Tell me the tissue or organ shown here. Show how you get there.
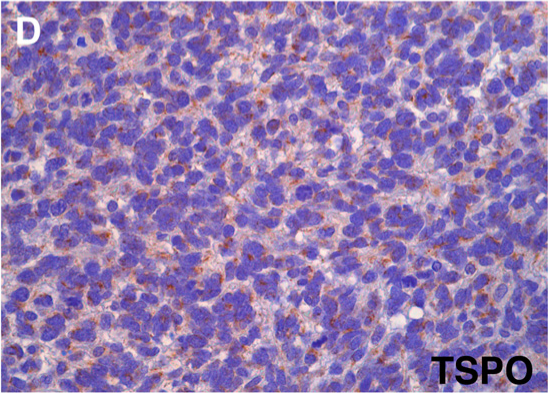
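Tumor. Densely packed sheet of cells with little intervening stroma. Crowded, enlarged, oval to irregular blue nuclei with scant cytoplasm. Cells lie in a patternless, disorganized arrangement.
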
